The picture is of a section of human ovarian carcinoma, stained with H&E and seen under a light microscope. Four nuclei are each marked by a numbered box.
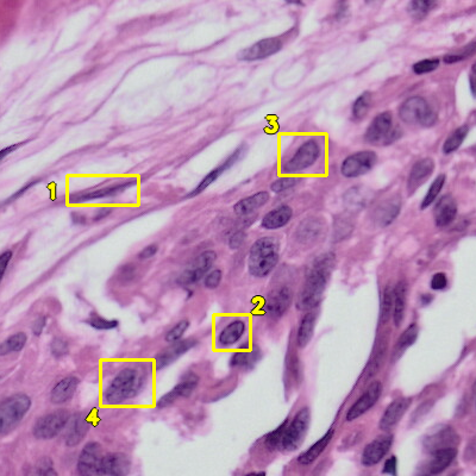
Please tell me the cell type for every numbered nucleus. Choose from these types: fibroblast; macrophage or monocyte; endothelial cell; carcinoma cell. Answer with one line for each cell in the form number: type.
1: fibroblast
2: macrophage or monocyte
3: carcinoma cell
4: carcinoma cell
